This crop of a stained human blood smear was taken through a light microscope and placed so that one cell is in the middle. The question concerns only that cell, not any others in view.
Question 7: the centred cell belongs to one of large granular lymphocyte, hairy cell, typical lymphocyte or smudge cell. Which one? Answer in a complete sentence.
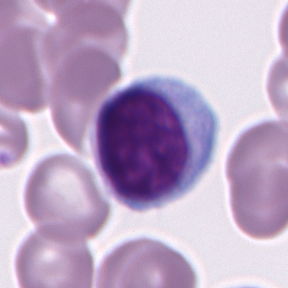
The central cell, amid any neighbouring cells, is a typical lymphocyte.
